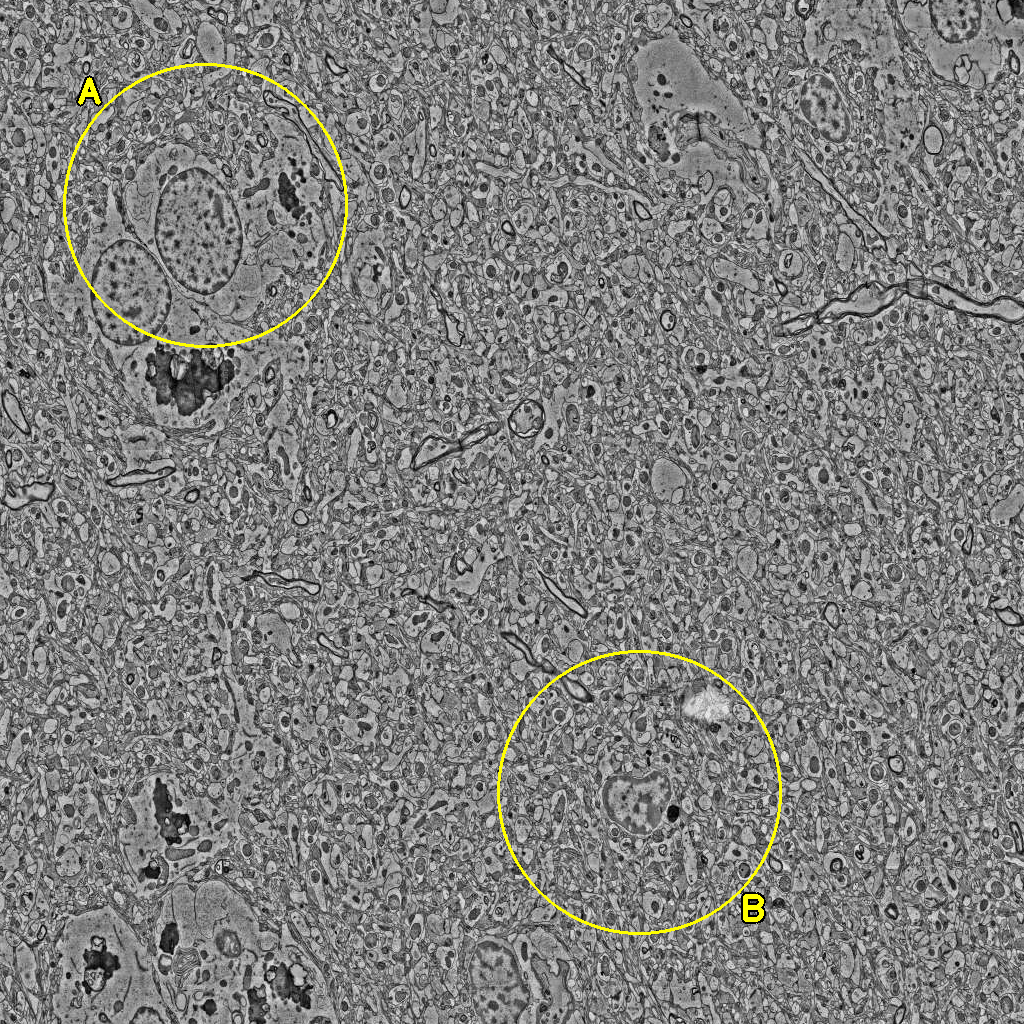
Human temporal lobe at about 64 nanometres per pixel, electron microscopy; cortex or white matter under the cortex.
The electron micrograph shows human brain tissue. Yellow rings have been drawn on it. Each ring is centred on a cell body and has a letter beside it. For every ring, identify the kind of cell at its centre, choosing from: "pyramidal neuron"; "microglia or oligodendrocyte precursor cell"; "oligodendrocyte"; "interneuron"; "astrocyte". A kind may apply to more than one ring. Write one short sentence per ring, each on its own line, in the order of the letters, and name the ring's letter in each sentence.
Ring A is centred on an astrocyte.
Ring B is centred on a microglial cell or oligodendrocyte precursor cell.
